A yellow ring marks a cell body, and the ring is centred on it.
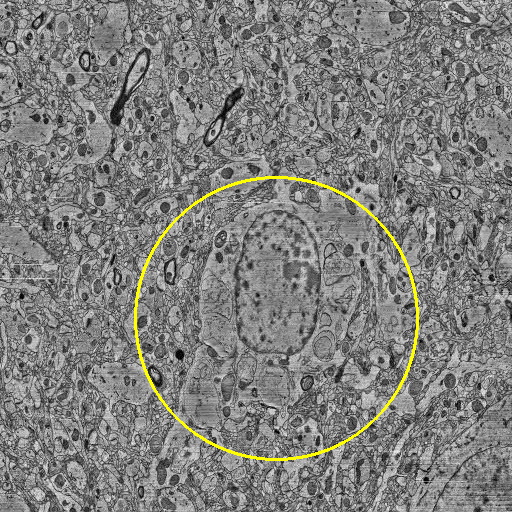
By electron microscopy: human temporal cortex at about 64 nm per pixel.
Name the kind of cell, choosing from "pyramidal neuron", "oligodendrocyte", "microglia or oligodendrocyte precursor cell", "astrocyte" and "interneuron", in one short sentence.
The marked cell body belongs to an astrocyte.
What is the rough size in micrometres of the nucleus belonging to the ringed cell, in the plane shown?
The nucleus is approximately 9 micrometres long but only about 6 wide, clearly longer than it is wide in this plane.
